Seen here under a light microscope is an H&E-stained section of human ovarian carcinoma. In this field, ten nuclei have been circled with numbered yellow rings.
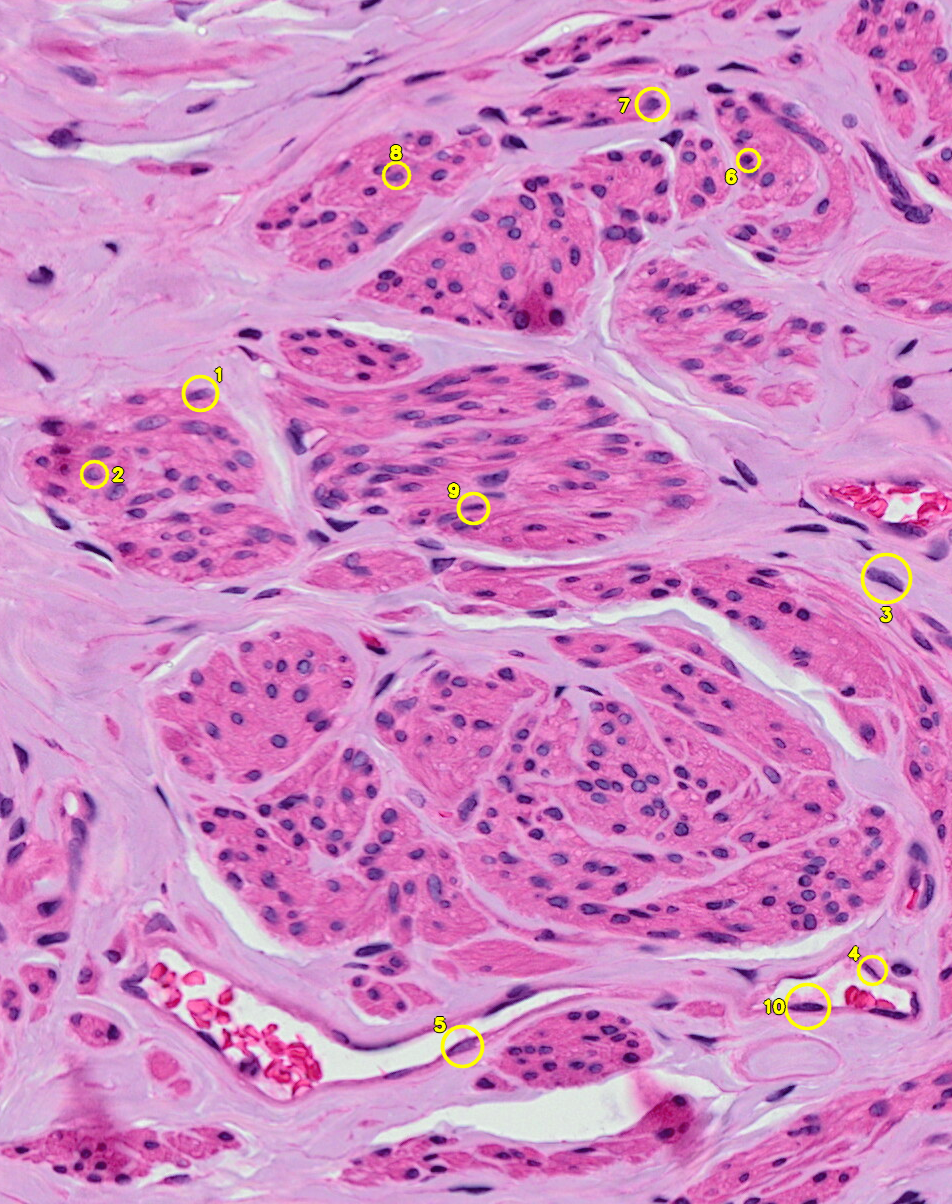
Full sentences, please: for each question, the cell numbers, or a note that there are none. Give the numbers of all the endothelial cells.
The cells to which the numbers 4, 5 and 10 refer are endothelial cells.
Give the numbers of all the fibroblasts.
The sole numbered cell that is a fibroblast is cell 3.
